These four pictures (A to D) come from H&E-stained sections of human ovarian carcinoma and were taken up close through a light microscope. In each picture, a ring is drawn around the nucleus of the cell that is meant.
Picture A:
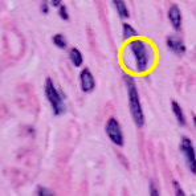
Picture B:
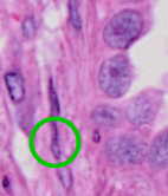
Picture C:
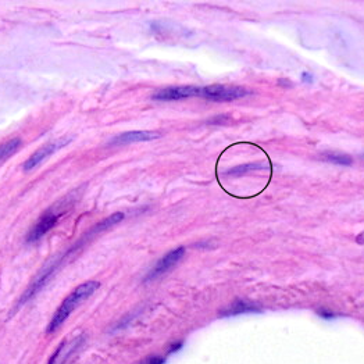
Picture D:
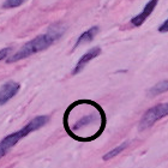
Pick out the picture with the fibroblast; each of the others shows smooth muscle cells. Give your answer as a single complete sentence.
The fibroblast is the one in picture B.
